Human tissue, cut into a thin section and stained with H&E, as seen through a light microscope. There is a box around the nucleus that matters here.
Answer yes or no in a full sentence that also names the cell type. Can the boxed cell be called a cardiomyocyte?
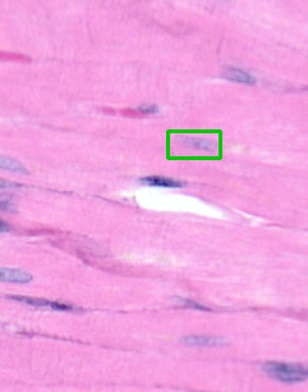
Yes, the boxed cell is properly called a cardiomyocyte in this section.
